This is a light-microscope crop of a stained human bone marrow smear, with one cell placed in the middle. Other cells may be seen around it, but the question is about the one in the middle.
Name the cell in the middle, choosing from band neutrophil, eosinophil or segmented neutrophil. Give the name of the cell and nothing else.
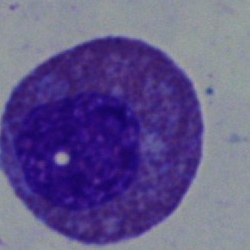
eosinophil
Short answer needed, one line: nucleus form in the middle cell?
The nucleus is one compact mass, round, oval or kidney-shaped in outline.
